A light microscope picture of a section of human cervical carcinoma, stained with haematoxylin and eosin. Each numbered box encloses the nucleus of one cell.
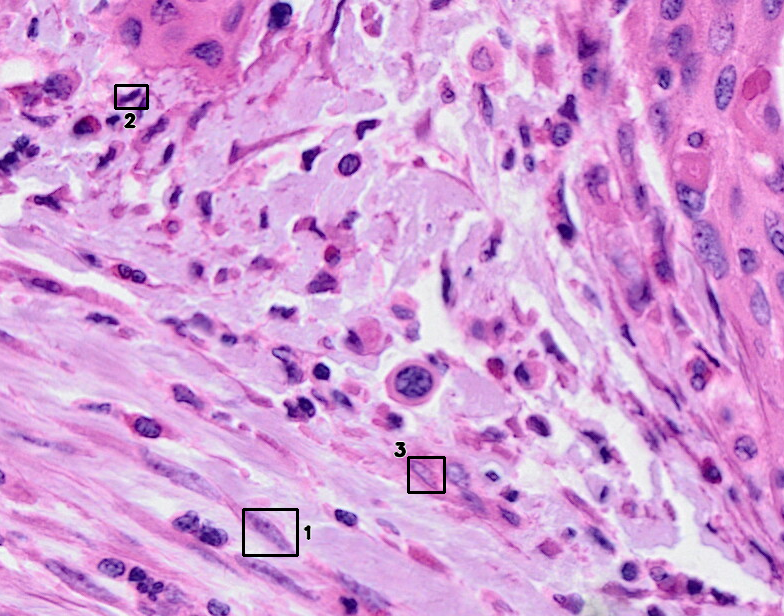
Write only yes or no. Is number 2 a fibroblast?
yes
